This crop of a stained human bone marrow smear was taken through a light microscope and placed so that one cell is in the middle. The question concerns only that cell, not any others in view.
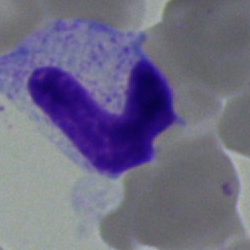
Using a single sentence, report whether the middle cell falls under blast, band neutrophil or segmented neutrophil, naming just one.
Occupying the centre of the crop is a band neutrophil.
